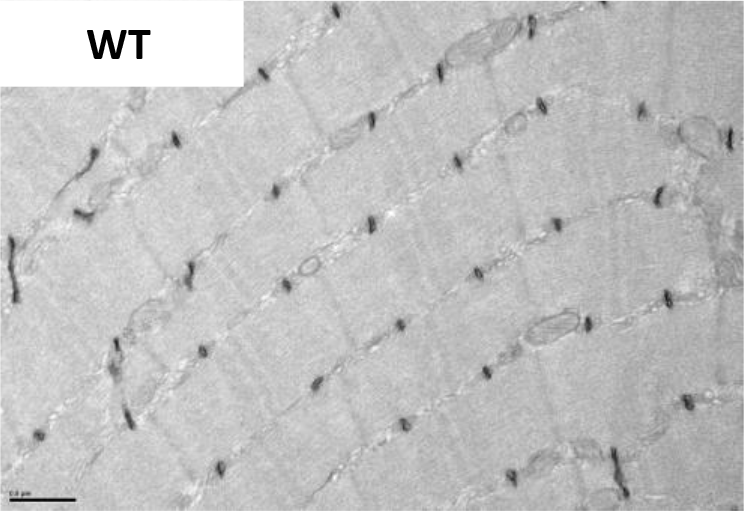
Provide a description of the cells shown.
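This longitudinal electron micrograph of a muscle fiber shows myofibrils with faint cross-striations separated by pale lines of intermyofibrillar space. Small black, elongated electron-dense profiles of T-tubules lie in regular transverse rows at repeated intervals, and small oval mitochondria sit between the myofibrils near these rows.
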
